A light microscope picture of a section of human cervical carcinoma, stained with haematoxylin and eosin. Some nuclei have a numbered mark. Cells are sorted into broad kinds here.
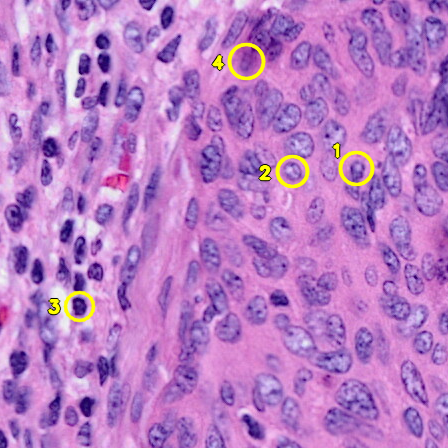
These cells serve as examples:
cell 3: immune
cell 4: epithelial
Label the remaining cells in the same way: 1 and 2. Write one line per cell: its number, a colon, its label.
1: epithelial
2: epithelial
